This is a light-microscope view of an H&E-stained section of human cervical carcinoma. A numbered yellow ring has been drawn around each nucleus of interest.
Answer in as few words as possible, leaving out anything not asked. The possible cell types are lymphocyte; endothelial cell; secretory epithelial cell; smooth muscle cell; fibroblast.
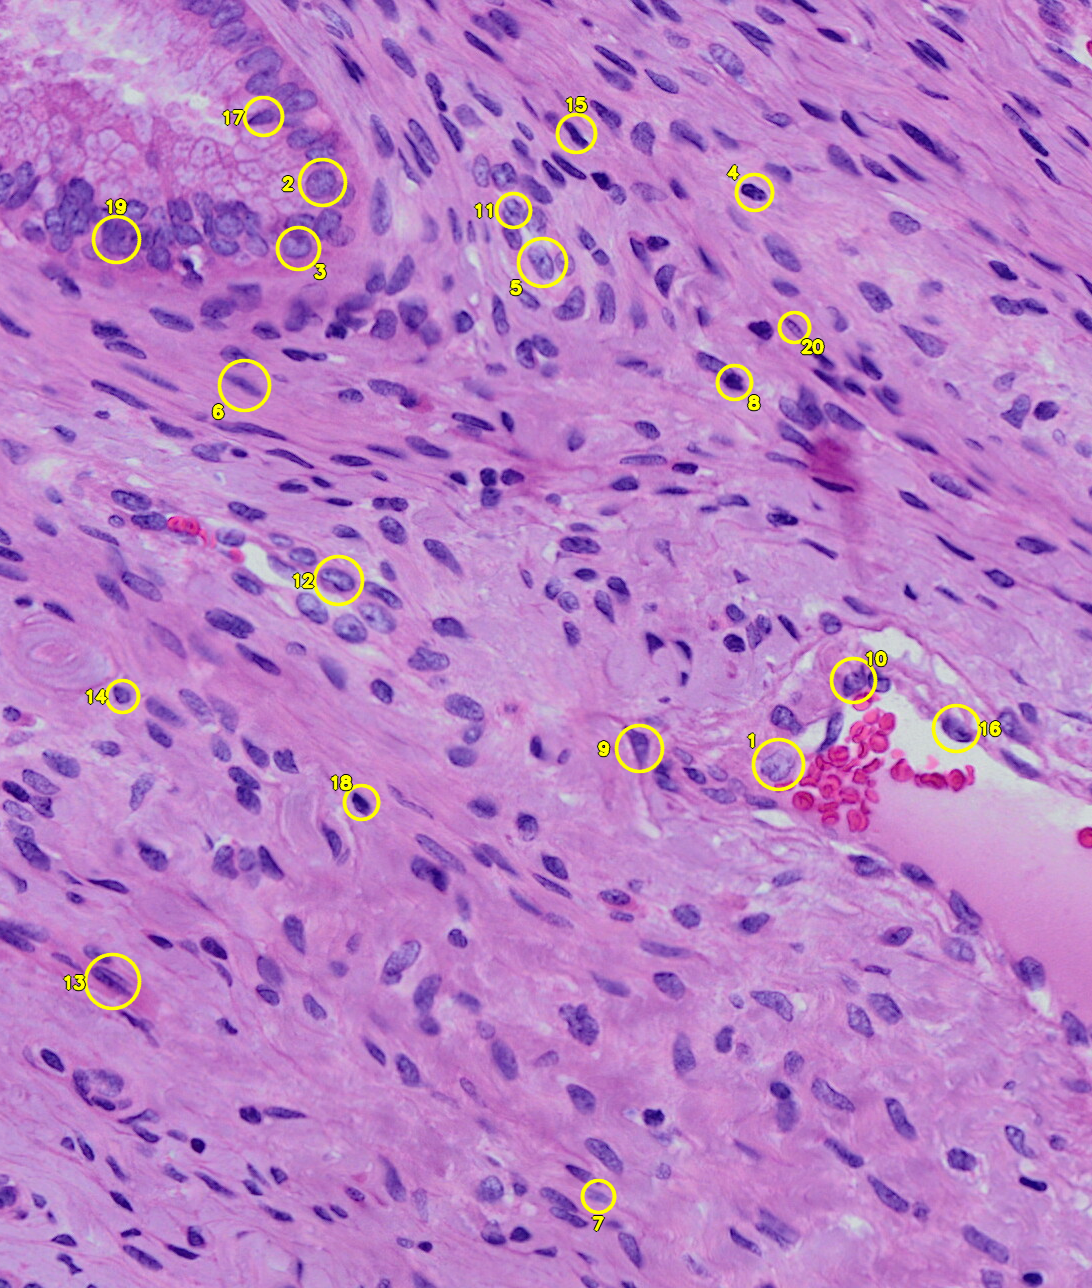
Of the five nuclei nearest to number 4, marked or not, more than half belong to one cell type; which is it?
fibroblast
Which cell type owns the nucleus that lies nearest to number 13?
smooth muscle cell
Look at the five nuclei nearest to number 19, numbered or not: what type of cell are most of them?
secretory epithelial cell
